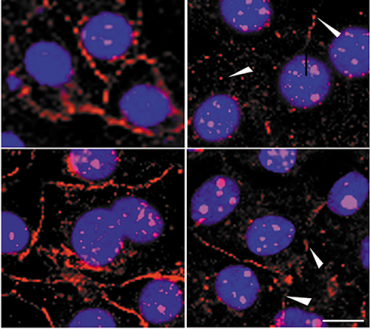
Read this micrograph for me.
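In the left images the red label runs as fairly continuous, beaded lines between neighbouring nuclei, tracing the borders where adjacent cells meet. In the right images these red borders are thin, broken or largely missing, and the red label appears more as scattered dots within the cells rather than along their edges. White arrowheads in the right images point to places at the cell borders where the red lines have faded. The cells form a single layer of closely set cells.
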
